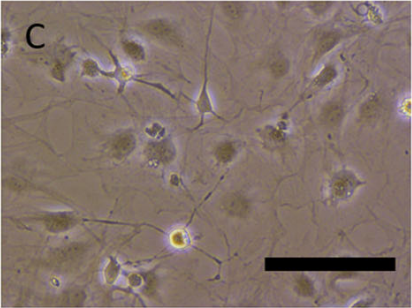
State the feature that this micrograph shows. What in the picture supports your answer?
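Thin protrusions. Several cells send out long, very thin, thread-like processes. The processes extend far beyond the cell bodies and branch. Some processes connect to neighbouring cells.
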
